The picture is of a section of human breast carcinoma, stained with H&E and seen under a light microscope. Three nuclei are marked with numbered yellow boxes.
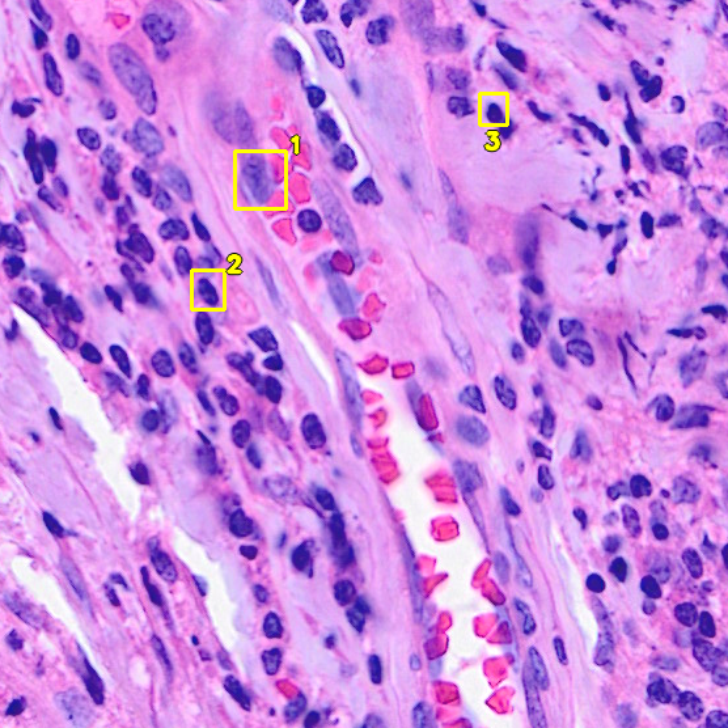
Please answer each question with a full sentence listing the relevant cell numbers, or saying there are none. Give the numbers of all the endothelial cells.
Only cell 1 is an endothelial cell; none of the other numbered cells is.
